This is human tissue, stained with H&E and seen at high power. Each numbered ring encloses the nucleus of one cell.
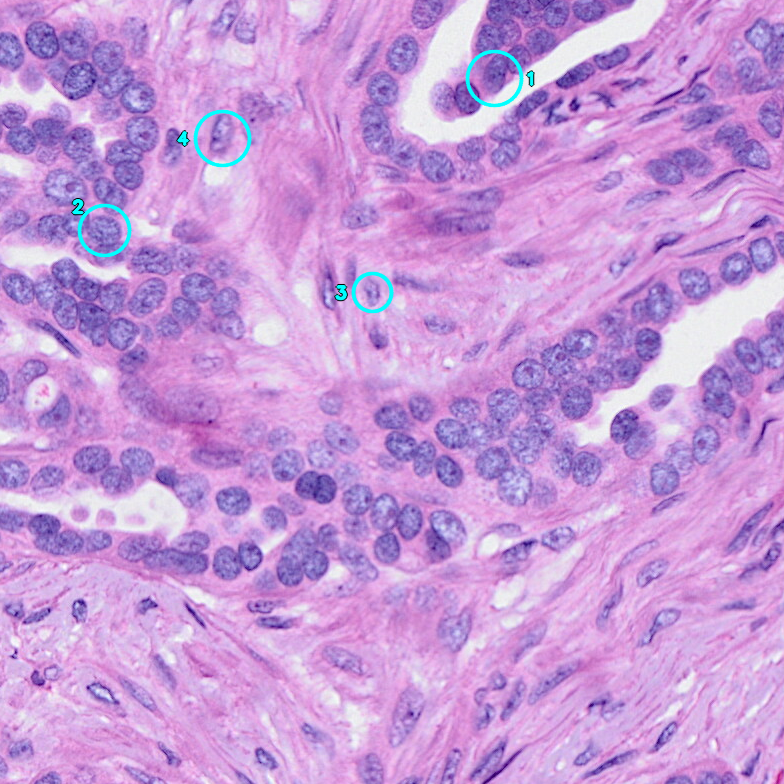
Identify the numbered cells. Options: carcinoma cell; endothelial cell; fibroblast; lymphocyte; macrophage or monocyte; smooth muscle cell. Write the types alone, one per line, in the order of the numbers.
carcinoma cell
carcinoma cell
fibroblast
fibroblast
